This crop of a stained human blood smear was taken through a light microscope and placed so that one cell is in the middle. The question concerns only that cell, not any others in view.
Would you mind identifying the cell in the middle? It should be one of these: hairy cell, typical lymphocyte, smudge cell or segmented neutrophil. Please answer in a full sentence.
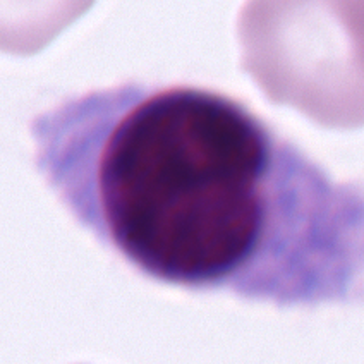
Centred in the crop is a hairy cell.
